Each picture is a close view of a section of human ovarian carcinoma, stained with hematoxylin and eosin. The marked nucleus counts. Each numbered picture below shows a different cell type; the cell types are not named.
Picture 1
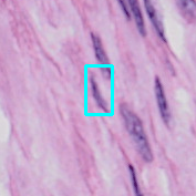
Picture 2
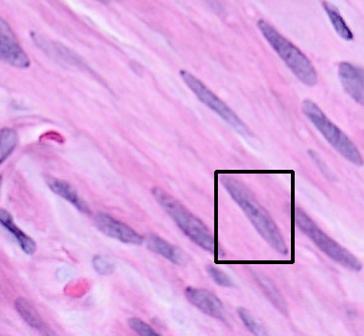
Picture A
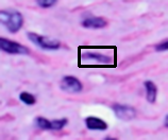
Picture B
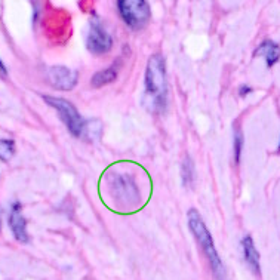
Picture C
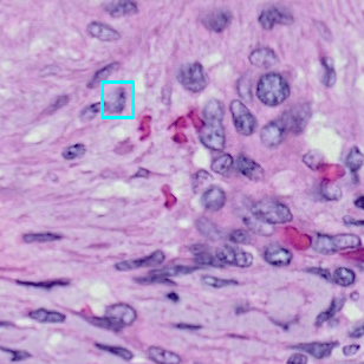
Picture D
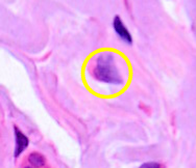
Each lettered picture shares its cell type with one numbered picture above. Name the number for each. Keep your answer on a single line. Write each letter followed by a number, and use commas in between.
A 1, B 1, C 1, D 1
